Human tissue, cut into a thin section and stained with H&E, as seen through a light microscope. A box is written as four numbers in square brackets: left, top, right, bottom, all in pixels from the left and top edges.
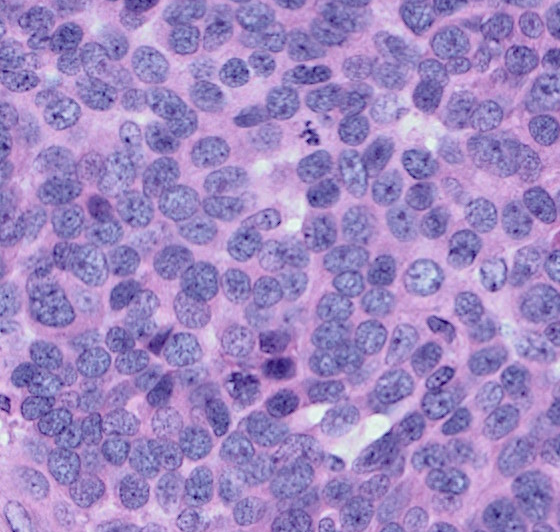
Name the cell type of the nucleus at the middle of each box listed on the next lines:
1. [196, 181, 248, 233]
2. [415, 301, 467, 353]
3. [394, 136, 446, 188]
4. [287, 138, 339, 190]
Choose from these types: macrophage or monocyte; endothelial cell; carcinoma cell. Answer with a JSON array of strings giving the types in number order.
["carcinoma cell", "macrophage or monocyte", "carcinoma cell", "carcinoma cell"]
